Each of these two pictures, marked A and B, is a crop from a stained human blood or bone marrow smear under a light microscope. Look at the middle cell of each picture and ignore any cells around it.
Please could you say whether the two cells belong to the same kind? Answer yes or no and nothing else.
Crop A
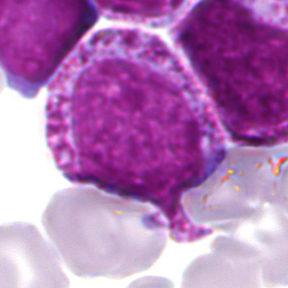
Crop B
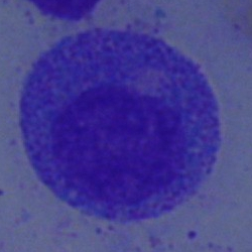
yes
